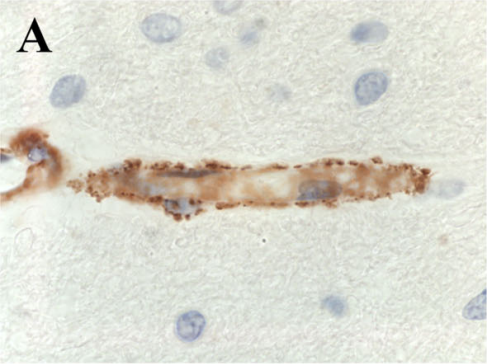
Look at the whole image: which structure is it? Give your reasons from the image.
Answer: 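A narrow tube running horizontally through the tissue. Elongated nuclei lie in its wall. Its width is only a few nuclei across. That points to this answer: capillaries.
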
